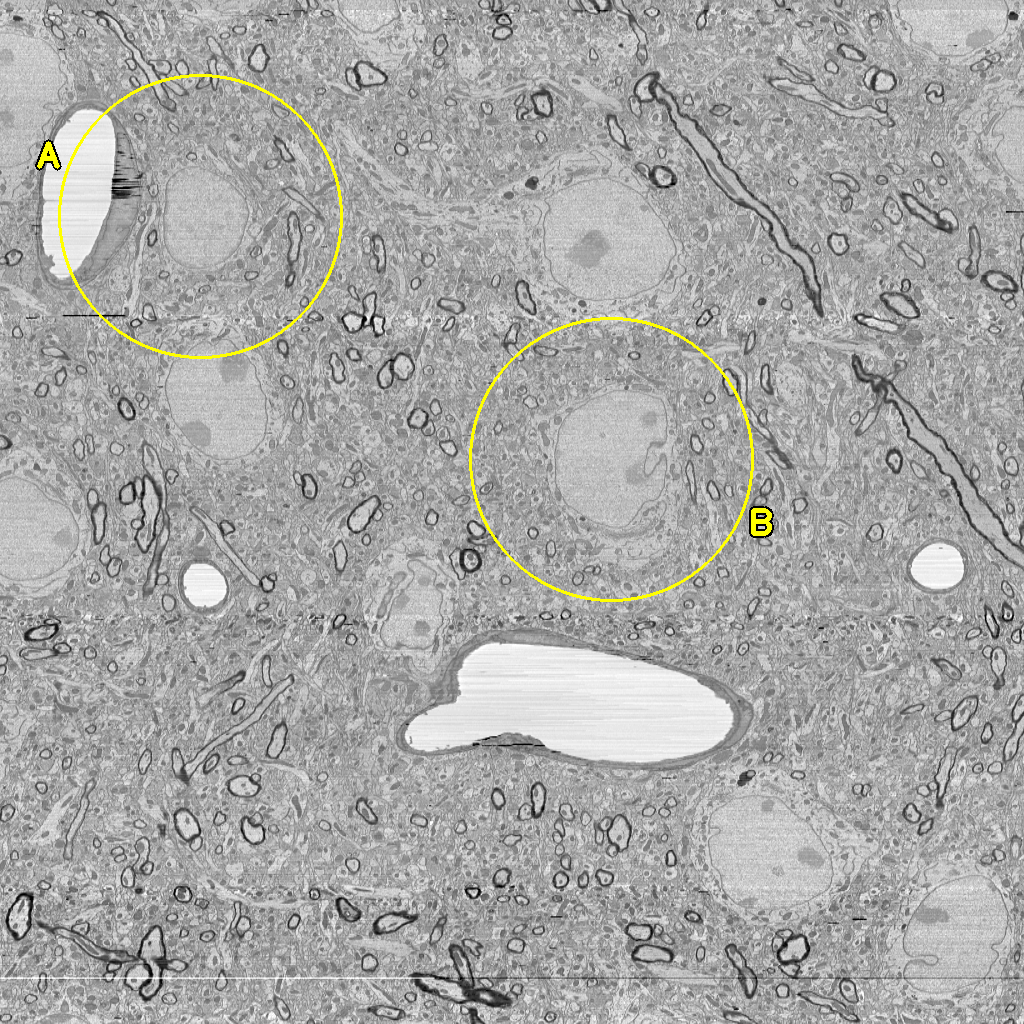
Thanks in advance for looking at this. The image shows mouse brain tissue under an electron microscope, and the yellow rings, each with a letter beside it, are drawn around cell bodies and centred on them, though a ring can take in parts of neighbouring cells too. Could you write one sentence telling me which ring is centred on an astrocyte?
Ring A is centred on it.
